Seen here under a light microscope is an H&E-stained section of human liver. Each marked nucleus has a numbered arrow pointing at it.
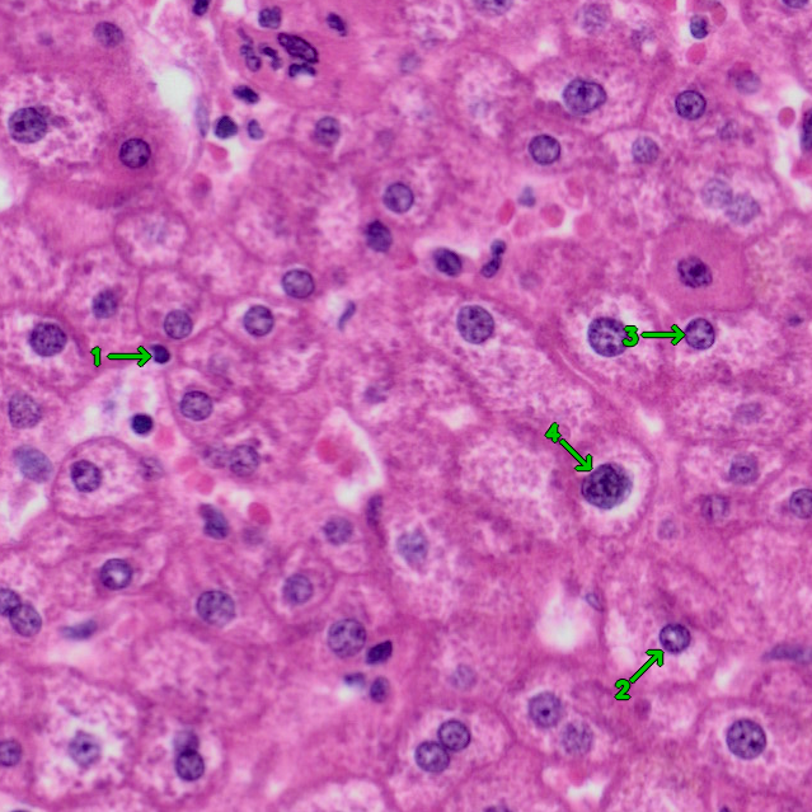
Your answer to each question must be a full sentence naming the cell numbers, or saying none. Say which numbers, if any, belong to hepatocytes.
The cells tagged with numbers 2, 3 and 4 are hepatocytes.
